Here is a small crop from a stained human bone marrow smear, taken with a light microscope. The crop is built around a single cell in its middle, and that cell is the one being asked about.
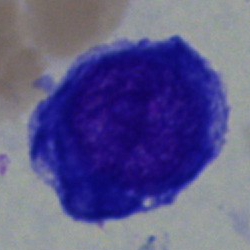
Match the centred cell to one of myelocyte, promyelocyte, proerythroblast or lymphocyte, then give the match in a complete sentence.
As for the central cell, it is a proerythroblast.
